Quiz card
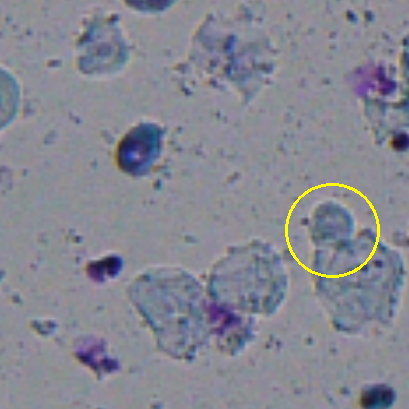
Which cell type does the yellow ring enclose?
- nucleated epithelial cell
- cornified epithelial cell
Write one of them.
cornified epithelial cell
